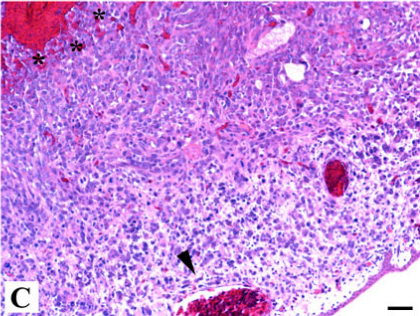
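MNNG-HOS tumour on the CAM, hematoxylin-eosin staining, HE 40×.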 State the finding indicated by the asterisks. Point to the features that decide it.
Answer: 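The asterisks lie beside a large area of bright red, eosinophilic material. Red blood cells are scattered among tumour cells around that area. So: necrosis and haemorrhage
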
